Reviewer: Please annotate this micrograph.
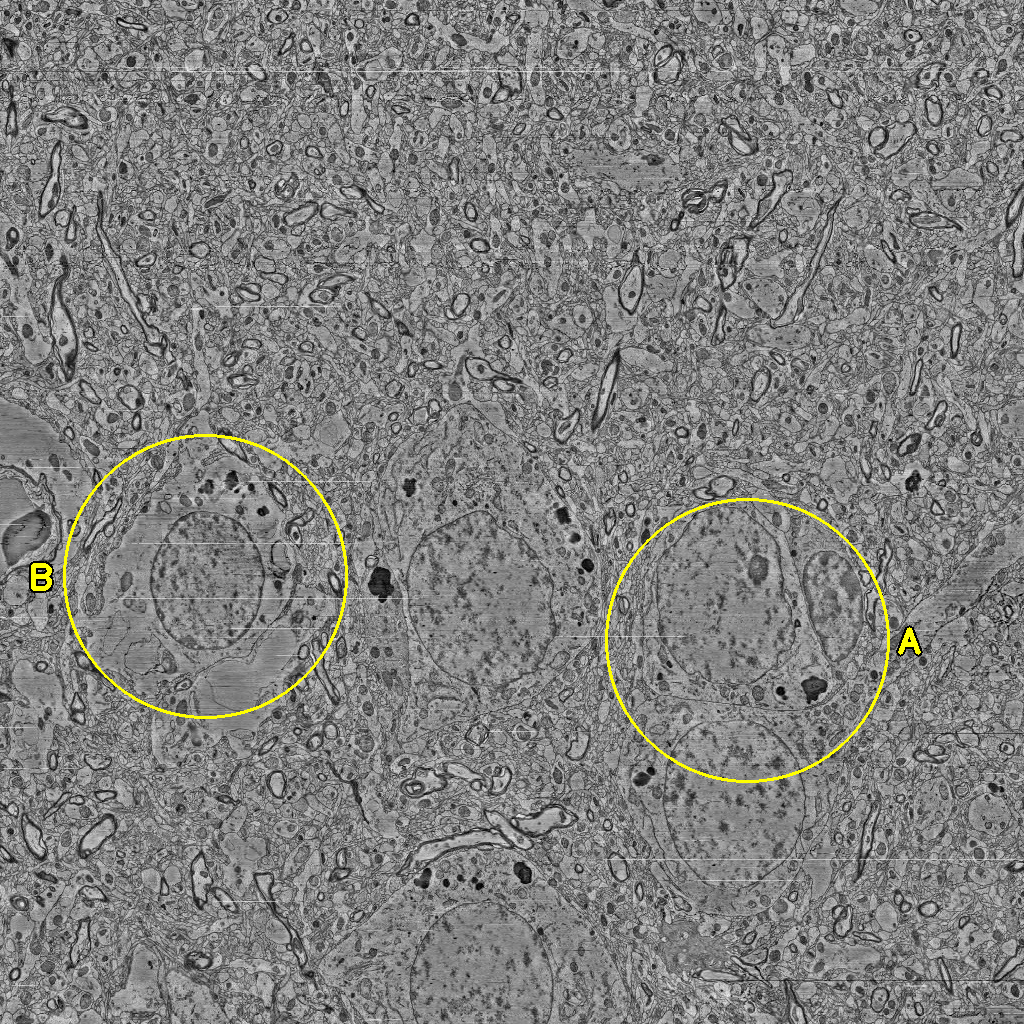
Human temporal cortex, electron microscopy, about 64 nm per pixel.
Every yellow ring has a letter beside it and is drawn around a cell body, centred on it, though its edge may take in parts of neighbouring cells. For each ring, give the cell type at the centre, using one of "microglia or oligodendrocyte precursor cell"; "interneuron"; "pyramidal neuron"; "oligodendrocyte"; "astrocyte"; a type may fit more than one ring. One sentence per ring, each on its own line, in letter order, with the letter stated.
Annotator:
The cell in the middle of ring A is a pyramidal neuron.
The cell in the middle of ring B is an astrocyte.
